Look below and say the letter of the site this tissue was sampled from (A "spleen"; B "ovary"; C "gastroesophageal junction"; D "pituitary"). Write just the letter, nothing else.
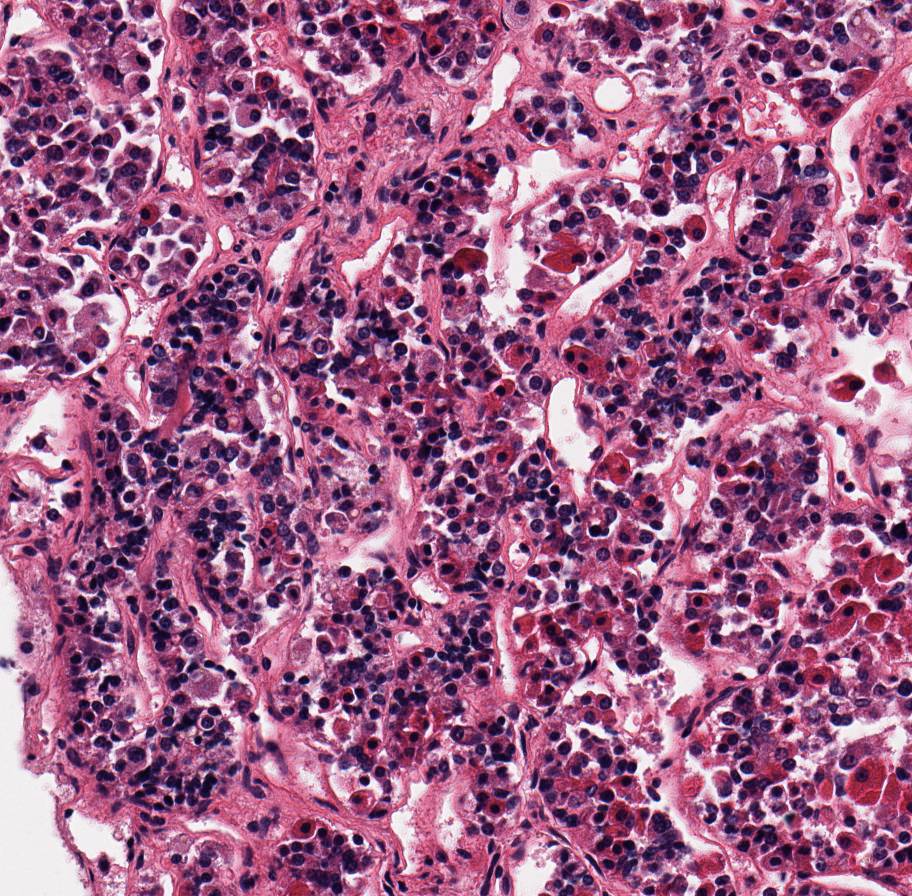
D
